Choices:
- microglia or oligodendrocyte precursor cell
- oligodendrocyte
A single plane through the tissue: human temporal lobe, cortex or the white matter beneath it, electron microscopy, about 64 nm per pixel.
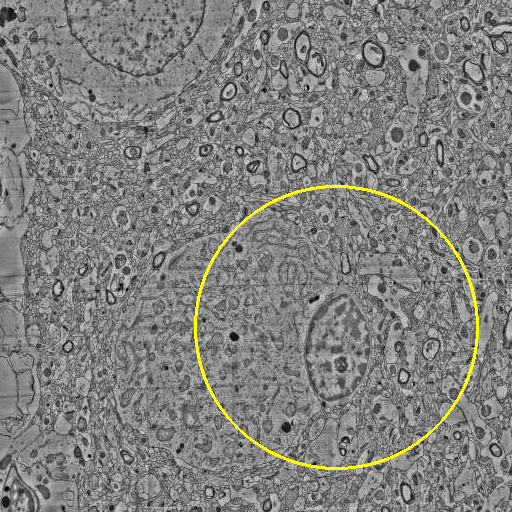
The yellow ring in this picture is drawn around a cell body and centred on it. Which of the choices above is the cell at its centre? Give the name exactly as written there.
oligodendrocyte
